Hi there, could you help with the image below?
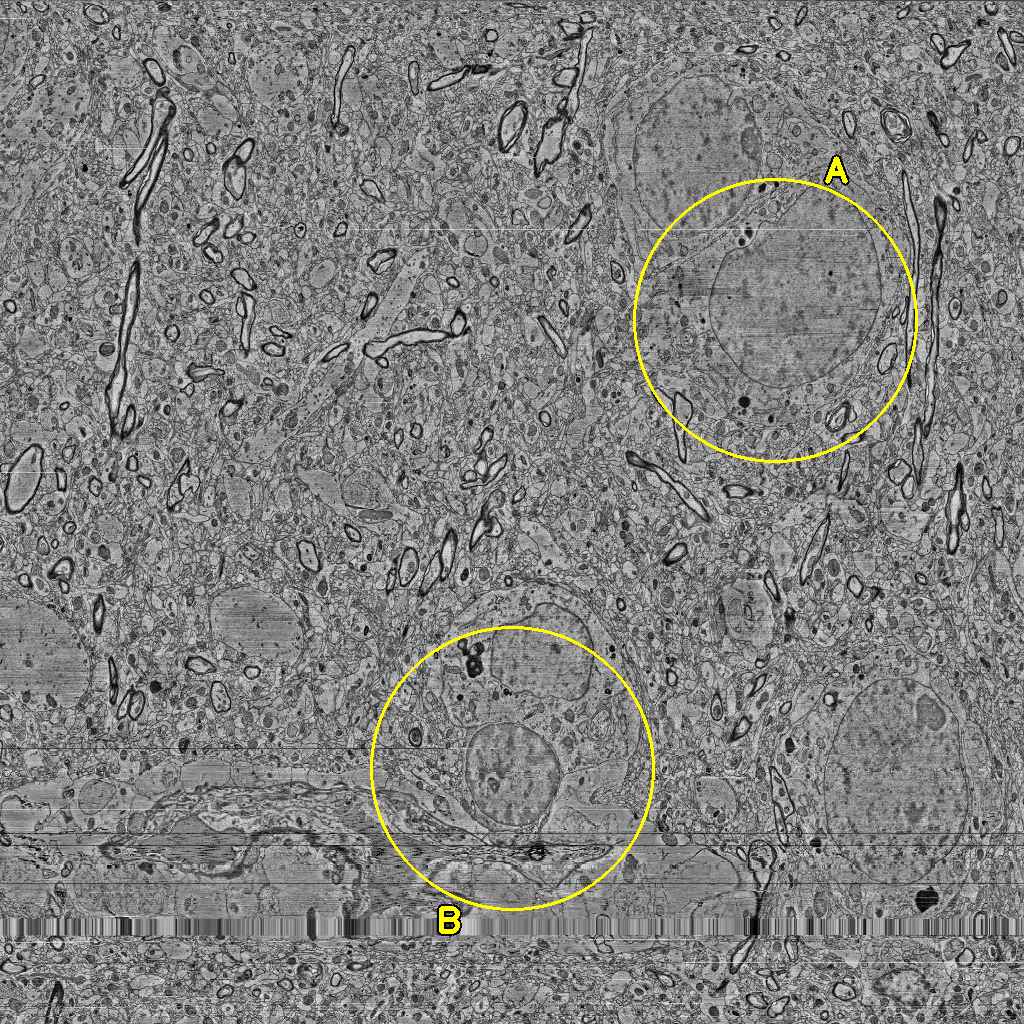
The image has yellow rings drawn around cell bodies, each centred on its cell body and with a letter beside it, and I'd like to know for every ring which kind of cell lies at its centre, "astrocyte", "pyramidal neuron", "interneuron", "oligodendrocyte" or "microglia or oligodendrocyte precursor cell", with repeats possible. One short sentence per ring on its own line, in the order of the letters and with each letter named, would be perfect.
Ring A is placed around a pyramidal neuron.
Ring B is placed around an oligodendrocyte.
